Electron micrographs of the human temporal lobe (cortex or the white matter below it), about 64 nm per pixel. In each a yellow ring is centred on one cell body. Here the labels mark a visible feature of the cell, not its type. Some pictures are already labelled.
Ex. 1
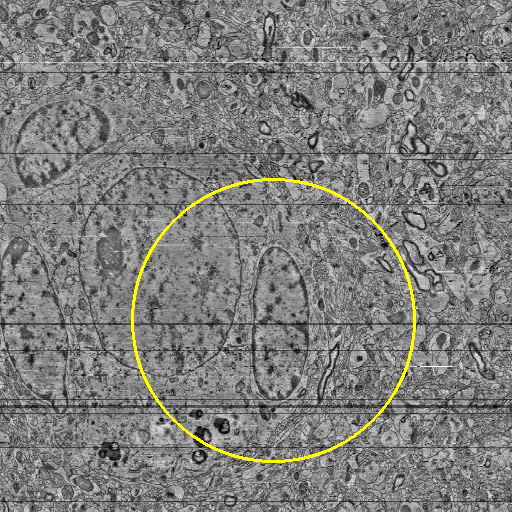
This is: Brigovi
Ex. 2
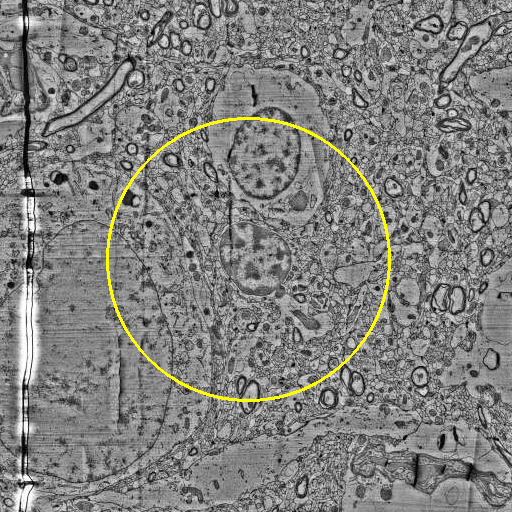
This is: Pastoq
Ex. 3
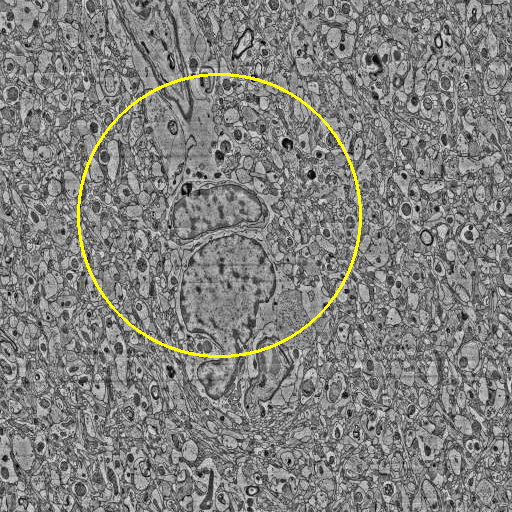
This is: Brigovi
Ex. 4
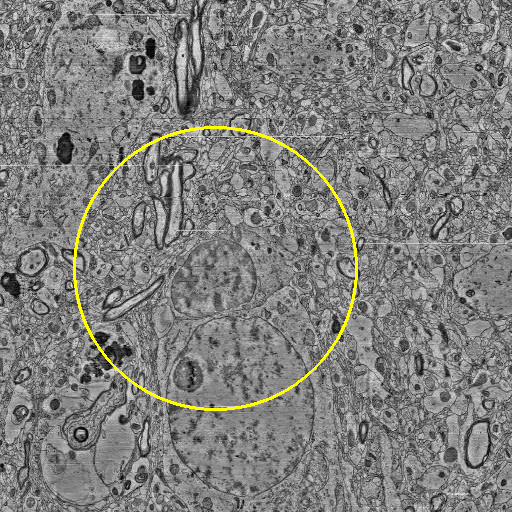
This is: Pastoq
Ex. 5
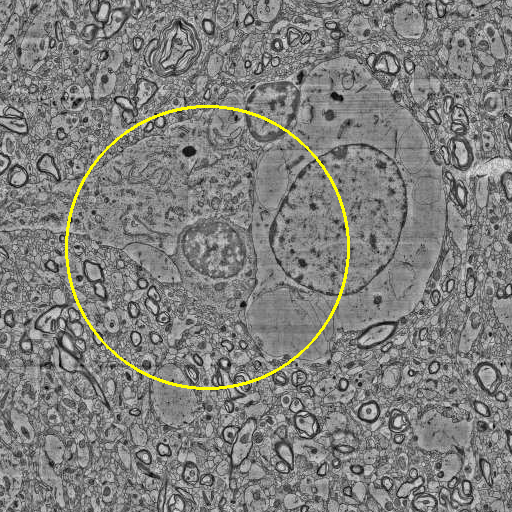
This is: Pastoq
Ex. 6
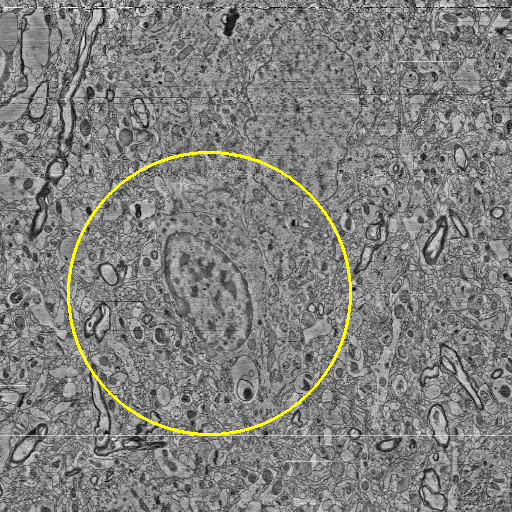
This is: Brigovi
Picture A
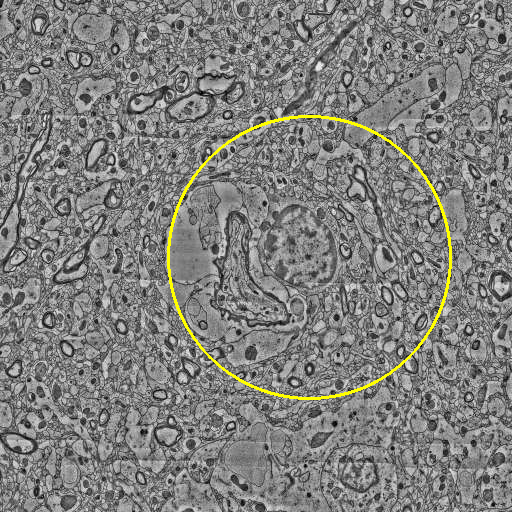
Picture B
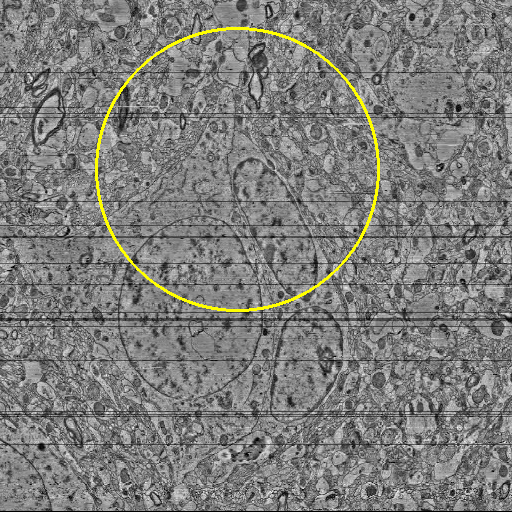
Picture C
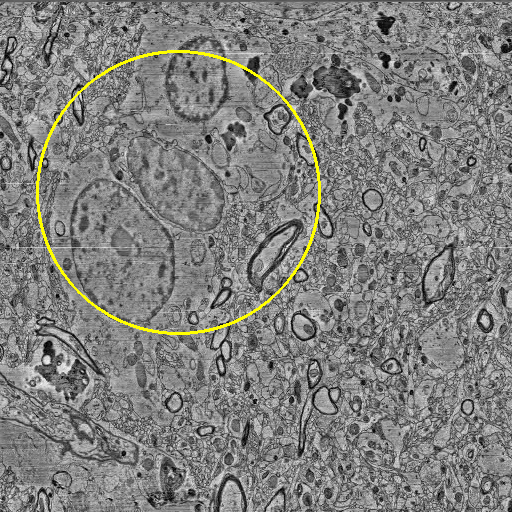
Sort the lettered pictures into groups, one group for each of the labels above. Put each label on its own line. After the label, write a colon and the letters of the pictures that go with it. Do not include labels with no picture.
Brigovi: B, C
Pastoq: A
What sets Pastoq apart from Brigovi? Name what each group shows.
Pastoq: round or nearly round nuclei; Brigovi: clearly elongated nuclei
